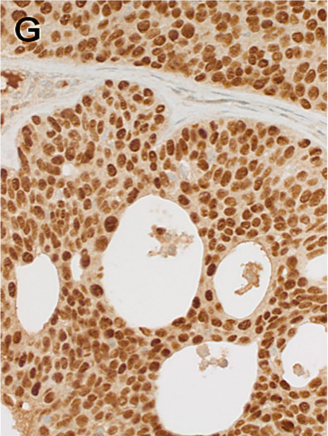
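Sheets of closely packed tumor cells with oval to round nuclei, nearly all with strong brown nuclear stain. Cytoplasm is scant and only faintly tinted. Several round empty lumens lie within the cell nest, some containing a little debris. A thin pale band of fibrous stroma crosses the upper part of the field.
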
